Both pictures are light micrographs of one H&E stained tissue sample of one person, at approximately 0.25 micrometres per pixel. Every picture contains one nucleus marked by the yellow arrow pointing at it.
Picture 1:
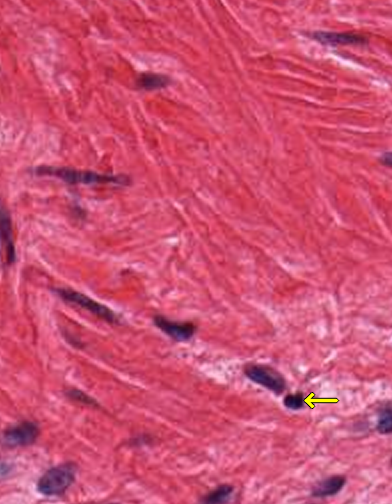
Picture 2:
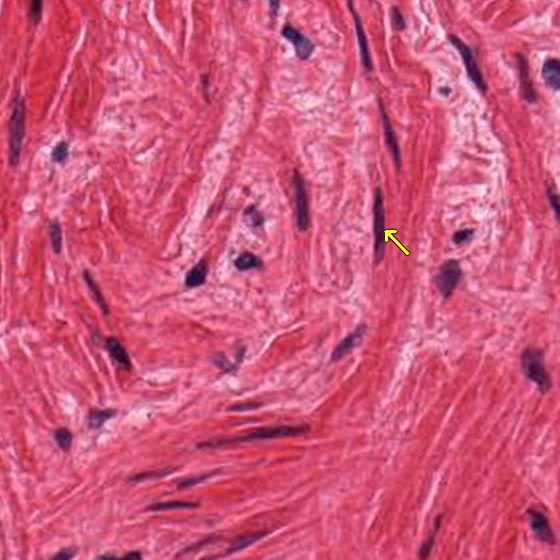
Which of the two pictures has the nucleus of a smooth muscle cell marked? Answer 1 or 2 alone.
2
